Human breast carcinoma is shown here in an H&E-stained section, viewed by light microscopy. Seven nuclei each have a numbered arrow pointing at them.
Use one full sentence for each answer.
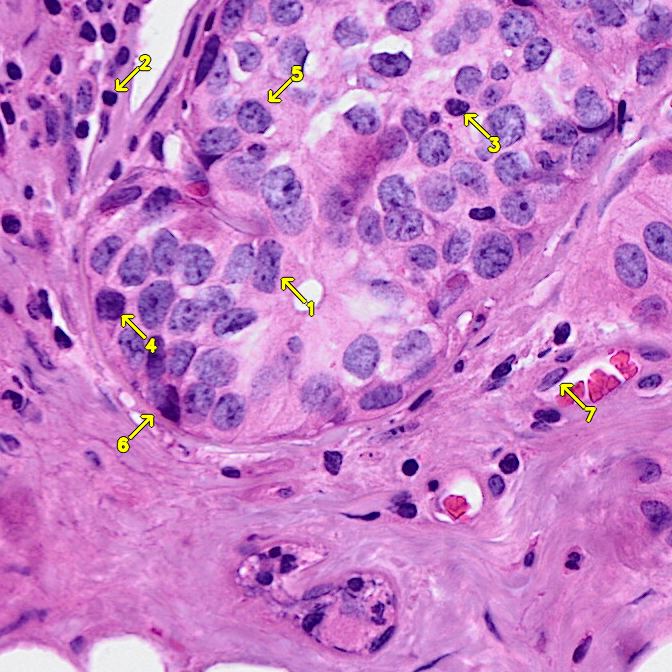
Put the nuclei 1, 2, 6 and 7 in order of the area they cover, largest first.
By area, largest first, they run 1, 6, 7, 2.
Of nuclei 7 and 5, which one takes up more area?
Of the two, number 5 is bigger and takes up about 3 times the area of number 7.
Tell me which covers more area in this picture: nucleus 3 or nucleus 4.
Number 4 is larger; its area is about 2.5 times that of number 3.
